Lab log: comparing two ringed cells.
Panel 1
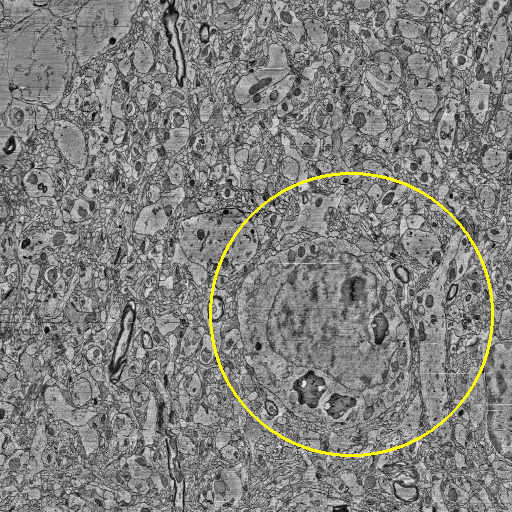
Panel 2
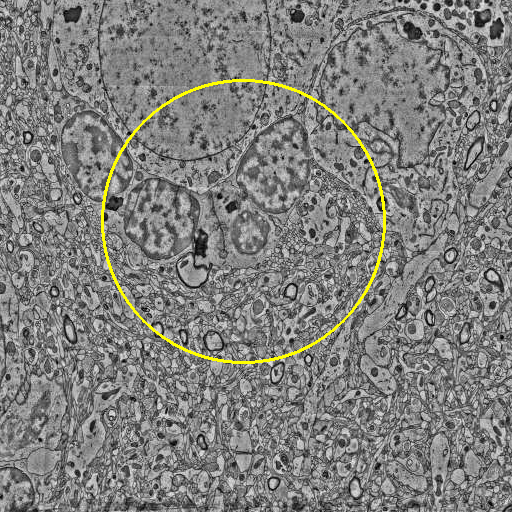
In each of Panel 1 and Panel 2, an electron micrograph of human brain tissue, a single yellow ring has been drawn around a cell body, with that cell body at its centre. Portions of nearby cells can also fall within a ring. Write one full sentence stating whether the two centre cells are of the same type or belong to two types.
The cells at the ring centres in Panel 1 and Panel 2 belong to two types.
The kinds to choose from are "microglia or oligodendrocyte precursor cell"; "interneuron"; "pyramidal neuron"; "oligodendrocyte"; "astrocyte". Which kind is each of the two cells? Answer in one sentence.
Of the two, the first cell is an interneuron and the second cell is an oligodendrocyte.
